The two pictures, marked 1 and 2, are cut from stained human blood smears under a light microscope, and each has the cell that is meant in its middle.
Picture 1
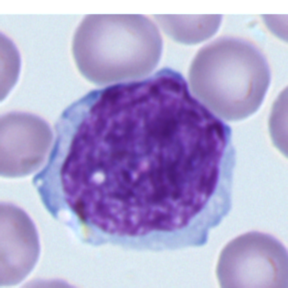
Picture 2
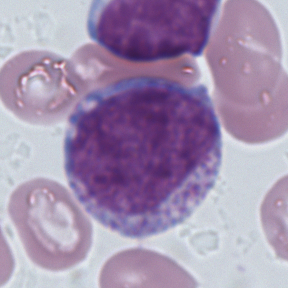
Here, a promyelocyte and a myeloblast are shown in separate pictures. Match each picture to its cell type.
1: myeloblast
2: promyelocyte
